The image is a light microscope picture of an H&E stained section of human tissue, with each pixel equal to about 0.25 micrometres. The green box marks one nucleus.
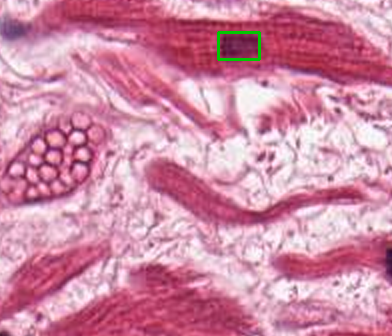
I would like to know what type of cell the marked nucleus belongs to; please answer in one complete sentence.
The mark in this picture falls on the nucleus of a cardiomyocyte.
